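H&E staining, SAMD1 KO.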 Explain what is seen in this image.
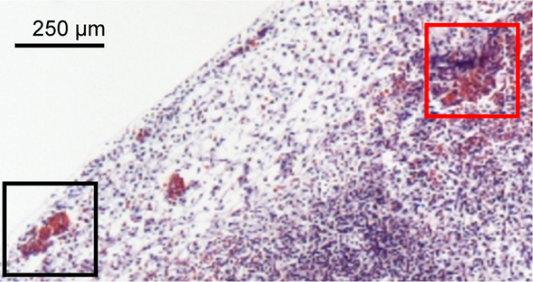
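The cells are dense and unevenly distributed, with a darker, more crowded zone in the lower part of the field. Scattered through the tissue are irregular patches of red-staining red blood cells gathered in clusters, the largest at the upper right, rather than lined up in slender vessels.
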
